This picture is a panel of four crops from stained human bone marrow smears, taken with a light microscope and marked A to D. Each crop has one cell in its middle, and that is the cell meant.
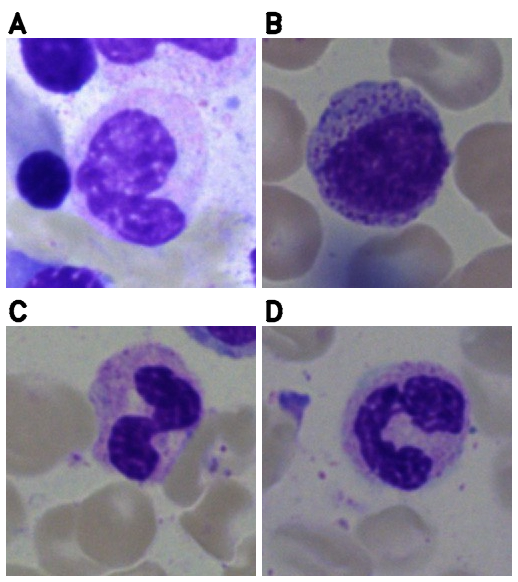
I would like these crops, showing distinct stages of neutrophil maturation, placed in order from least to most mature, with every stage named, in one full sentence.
The least to most mature sequence reads crop B (a myelocyte), crop A (a metamyelocyte), crop C (a band neutrophil) and crop D (a segmented neutrophil).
